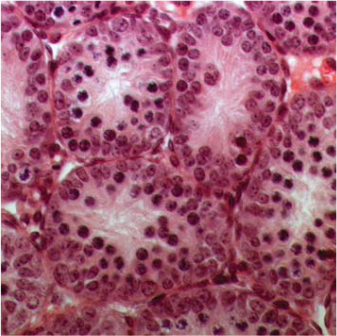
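Testis in cross-section, seminiferous tubules with germ cells and supporting cells. Round tubules lie closely packed, separated by a thin interstitium with a few red blood cells. Each tubule is bounded by a thin wall with flattened nuclei. Within, several layers of cells with dark purple nuclei fill the epithelium; many inner nuclei are large and round with coarse, clumped or thread-like chromatin, set in pale cytoplasm. The centre of each tubule is occupied by pale pink, finely fibrillar cytoplasm radiating inward, without an open lumen.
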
